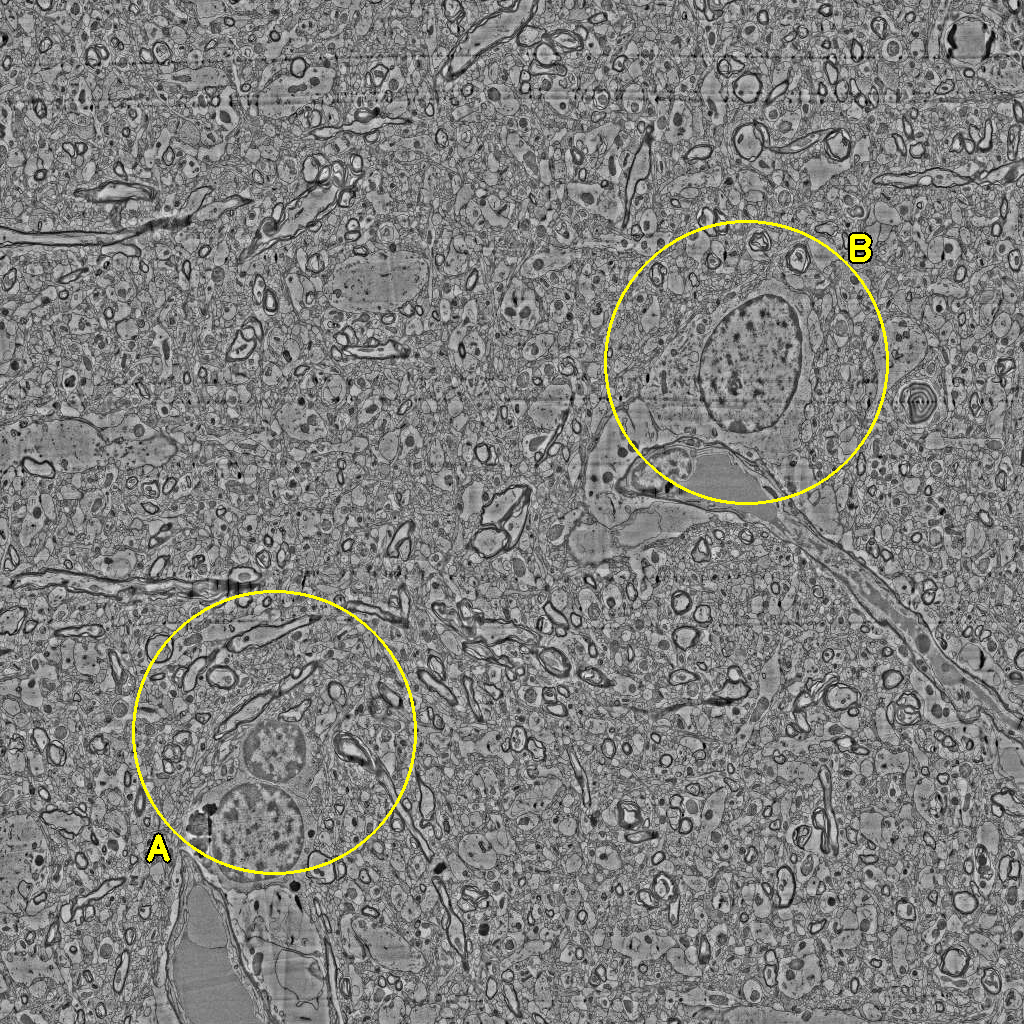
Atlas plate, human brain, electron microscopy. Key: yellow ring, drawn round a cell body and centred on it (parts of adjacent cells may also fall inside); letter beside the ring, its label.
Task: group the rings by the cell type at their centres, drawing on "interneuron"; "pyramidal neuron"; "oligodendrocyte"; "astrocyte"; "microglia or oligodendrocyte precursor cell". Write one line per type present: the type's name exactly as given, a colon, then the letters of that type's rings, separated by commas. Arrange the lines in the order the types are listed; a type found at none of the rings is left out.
oligodendrocyte: A
microglia or oligodendrocyte precursor cell: B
